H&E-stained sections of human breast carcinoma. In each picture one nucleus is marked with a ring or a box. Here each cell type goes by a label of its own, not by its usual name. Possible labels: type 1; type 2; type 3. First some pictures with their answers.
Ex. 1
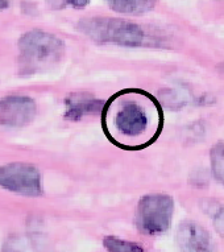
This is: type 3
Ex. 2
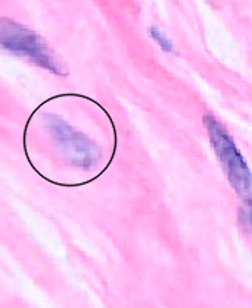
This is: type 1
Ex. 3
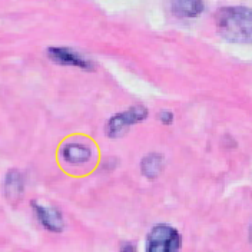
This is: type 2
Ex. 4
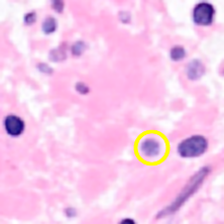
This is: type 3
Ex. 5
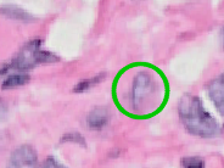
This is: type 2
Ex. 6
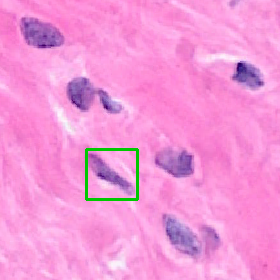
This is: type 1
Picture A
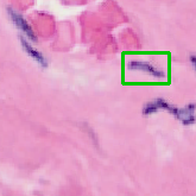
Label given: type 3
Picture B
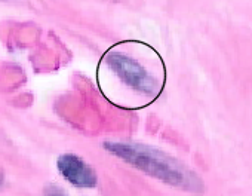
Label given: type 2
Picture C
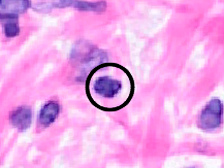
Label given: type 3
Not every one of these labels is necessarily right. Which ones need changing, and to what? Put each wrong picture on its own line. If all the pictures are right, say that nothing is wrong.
A: not type 3 but type 2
